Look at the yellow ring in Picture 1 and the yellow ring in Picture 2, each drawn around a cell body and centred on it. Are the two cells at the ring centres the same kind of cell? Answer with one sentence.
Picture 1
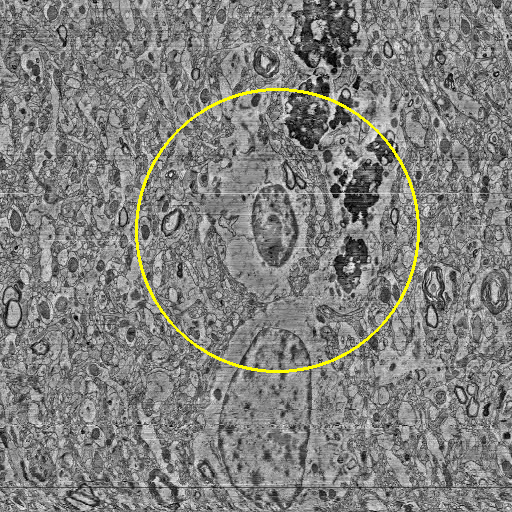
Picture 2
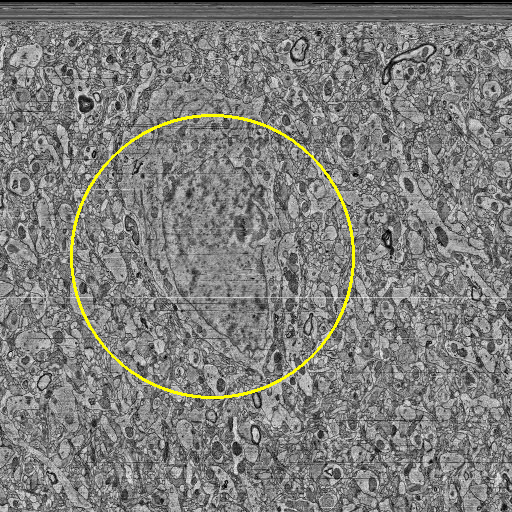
No, they are cells of two kinds.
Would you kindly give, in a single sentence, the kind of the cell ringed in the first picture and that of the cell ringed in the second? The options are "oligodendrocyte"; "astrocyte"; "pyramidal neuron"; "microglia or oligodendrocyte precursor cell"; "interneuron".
The second cell is an interneuron, and the first cell is an astrocyte.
